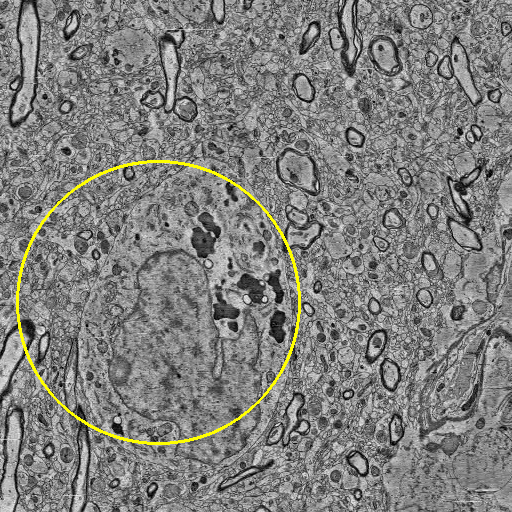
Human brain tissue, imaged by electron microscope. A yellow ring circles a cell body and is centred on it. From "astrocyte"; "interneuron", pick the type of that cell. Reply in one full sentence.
The cell body at the centre of the yellow ring belongs to an interneuron.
